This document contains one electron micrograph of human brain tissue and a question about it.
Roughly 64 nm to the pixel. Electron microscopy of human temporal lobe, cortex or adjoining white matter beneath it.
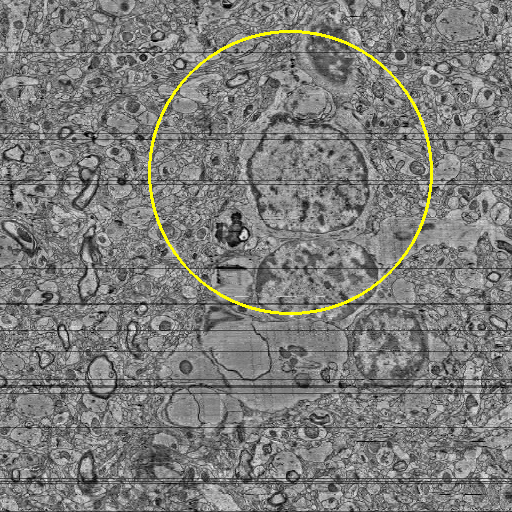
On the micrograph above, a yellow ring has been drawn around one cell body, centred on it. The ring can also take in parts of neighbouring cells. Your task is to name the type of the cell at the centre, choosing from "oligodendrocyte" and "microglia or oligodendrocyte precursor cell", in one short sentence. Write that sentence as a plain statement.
Here the ring is centred on a microglial cell or oligodendrocyte precursor cell.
